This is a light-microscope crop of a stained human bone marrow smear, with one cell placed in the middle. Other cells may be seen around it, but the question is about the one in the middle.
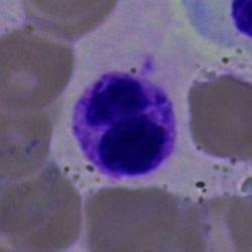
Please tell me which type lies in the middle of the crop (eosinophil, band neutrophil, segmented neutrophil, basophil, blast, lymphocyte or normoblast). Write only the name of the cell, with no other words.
basophil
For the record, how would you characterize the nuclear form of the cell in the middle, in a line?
The nucleus here is split into two or more lobes, not one.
